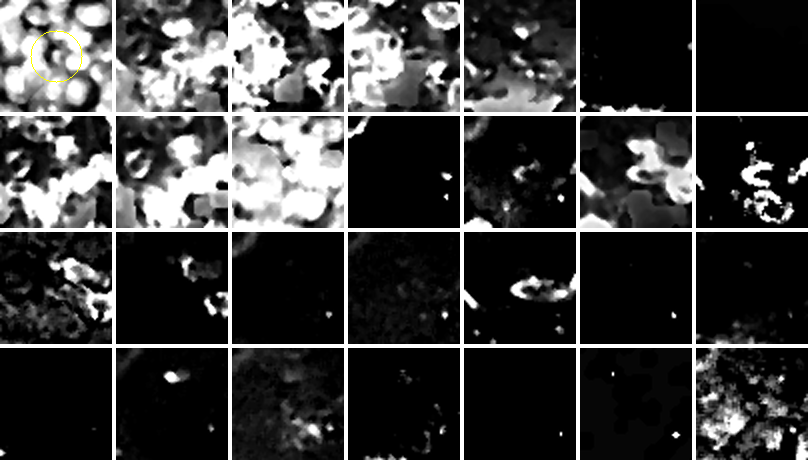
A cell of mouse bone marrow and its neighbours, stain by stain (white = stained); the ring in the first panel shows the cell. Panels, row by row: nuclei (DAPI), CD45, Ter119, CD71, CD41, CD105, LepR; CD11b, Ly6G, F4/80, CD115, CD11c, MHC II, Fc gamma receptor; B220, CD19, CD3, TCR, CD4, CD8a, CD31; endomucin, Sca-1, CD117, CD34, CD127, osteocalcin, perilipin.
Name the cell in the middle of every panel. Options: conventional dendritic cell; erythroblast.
conventional dendritic cell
